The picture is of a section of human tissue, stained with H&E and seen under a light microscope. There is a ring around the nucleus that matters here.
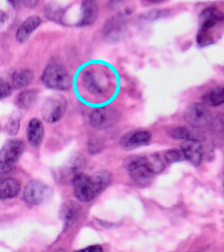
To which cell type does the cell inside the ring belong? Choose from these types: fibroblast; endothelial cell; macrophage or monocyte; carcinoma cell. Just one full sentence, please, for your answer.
For cell typing purposes, the cell inside the ring is an endothelial cell.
